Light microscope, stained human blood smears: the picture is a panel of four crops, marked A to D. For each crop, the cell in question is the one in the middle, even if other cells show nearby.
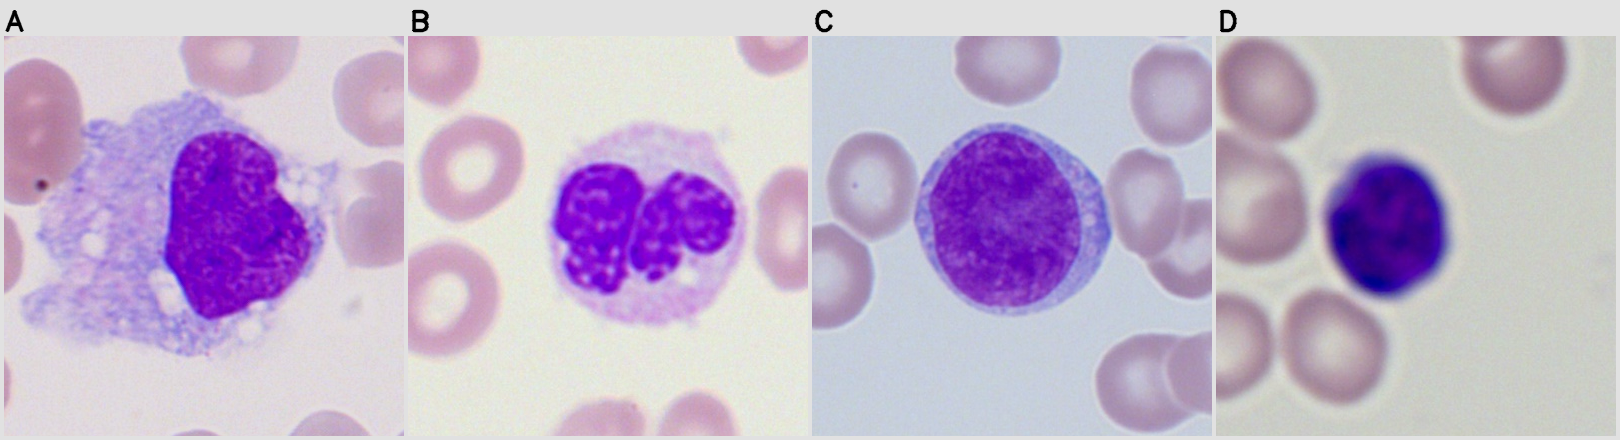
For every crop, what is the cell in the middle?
A: monocyte
B: monocyte
C: blast
D: lymphocyte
